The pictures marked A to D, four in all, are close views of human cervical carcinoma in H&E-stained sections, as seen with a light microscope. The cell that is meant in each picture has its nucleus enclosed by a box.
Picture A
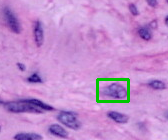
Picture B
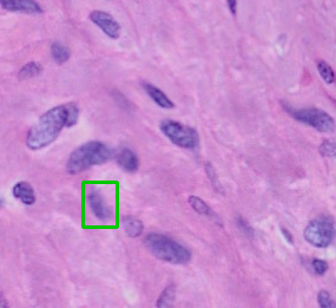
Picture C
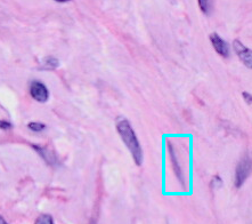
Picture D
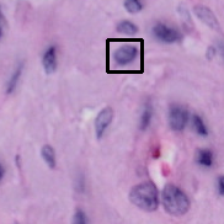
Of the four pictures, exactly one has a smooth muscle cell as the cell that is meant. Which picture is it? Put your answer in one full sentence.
It is picture A that shows the smooth muscle cell.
